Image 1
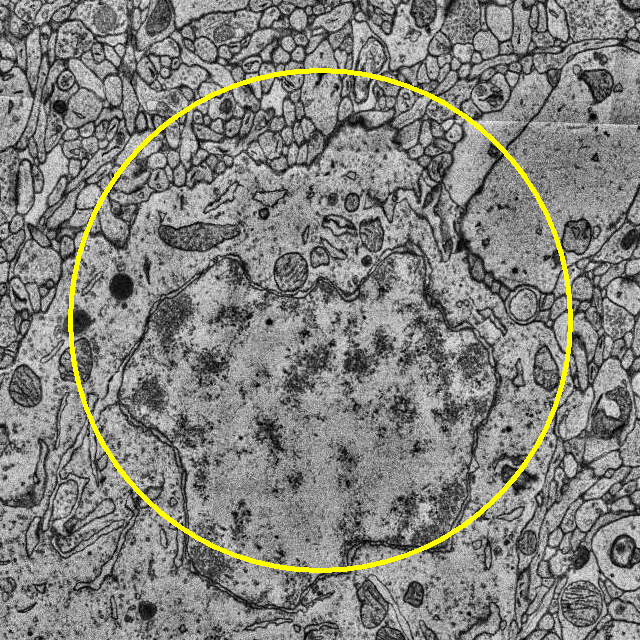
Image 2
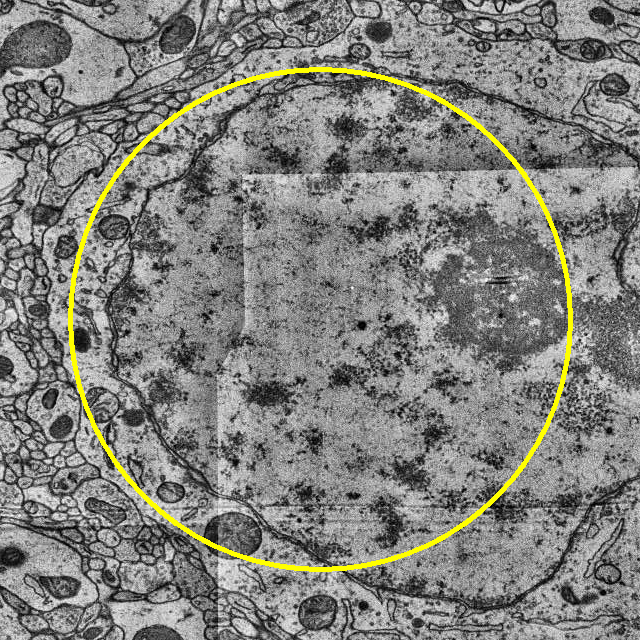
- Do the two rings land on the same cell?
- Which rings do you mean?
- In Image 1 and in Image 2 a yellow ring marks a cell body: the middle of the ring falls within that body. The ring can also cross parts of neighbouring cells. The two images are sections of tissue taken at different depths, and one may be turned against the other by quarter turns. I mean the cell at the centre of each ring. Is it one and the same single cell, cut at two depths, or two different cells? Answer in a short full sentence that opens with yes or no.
Yes, only one cell is involved, and both rings mark it.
